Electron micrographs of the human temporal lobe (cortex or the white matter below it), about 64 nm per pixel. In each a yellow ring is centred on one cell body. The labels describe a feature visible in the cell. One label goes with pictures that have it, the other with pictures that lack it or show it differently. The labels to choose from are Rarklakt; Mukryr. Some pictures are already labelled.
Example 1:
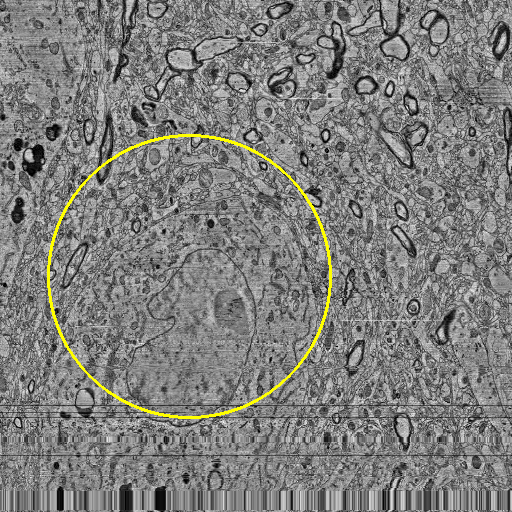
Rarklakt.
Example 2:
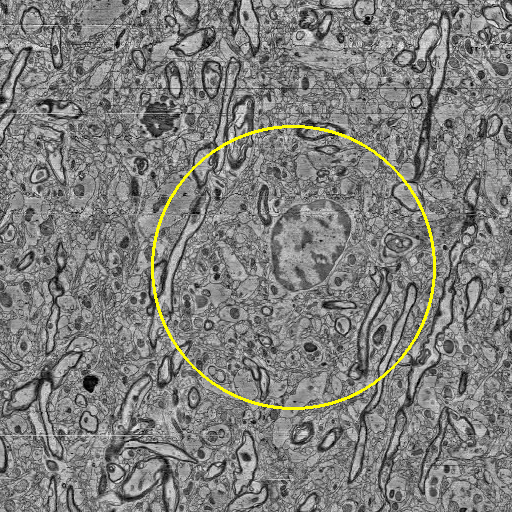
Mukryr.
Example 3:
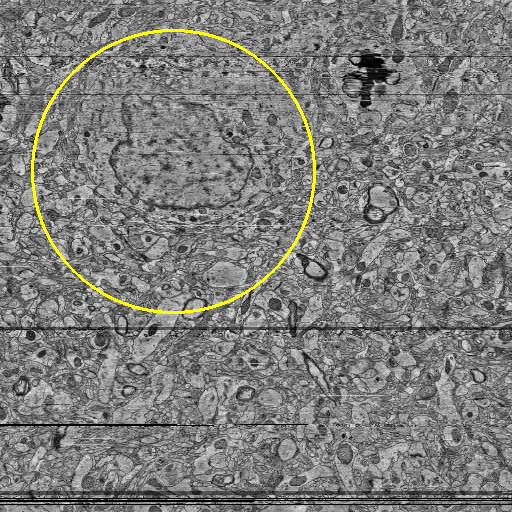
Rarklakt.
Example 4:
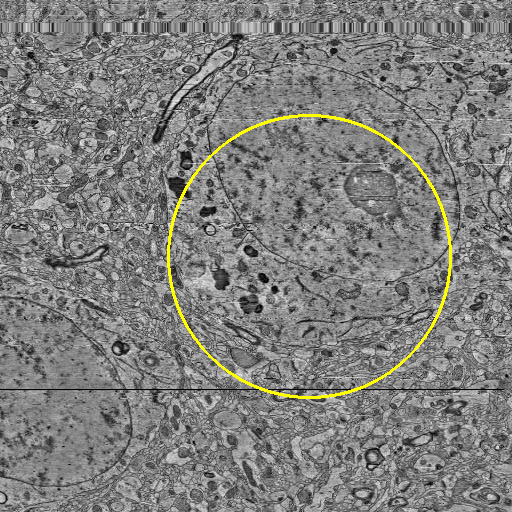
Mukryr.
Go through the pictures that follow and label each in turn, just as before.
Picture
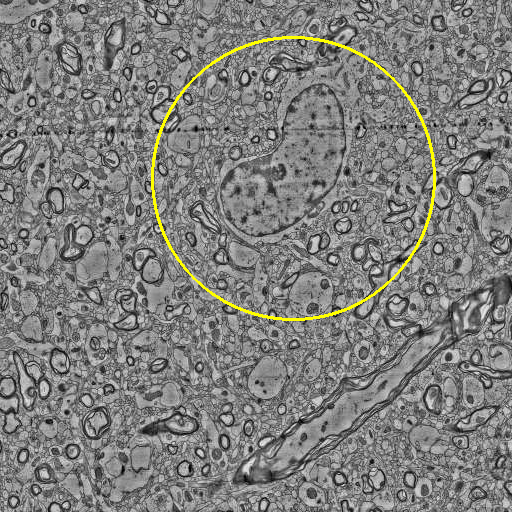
Rarklakt.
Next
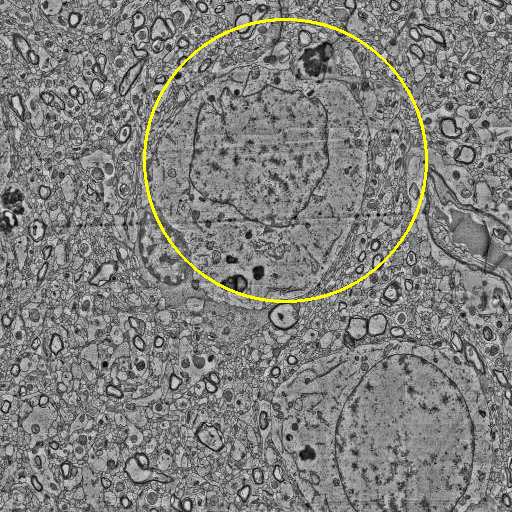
Rarklakt.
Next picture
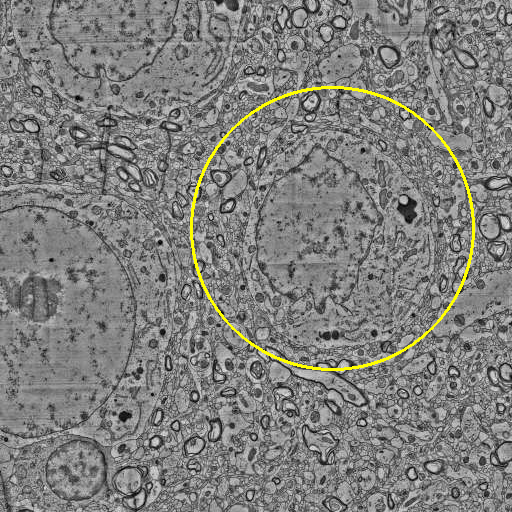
Rarklakt.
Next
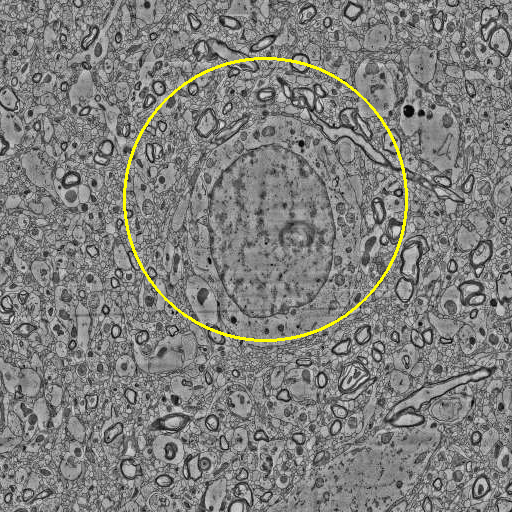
Mukryr.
